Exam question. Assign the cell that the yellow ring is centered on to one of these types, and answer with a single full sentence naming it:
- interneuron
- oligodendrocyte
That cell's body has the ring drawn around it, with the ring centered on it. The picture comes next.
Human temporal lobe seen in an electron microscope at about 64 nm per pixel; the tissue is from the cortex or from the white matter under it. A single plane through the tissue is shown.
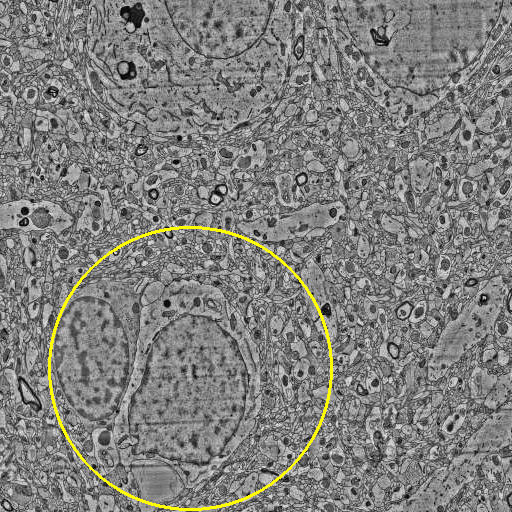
In the micrograph, the cell the yellow ring is centered on is an interneuron.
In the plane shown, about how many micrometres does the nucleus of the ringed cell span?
About 10 by 8 micrometers, in this plane.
